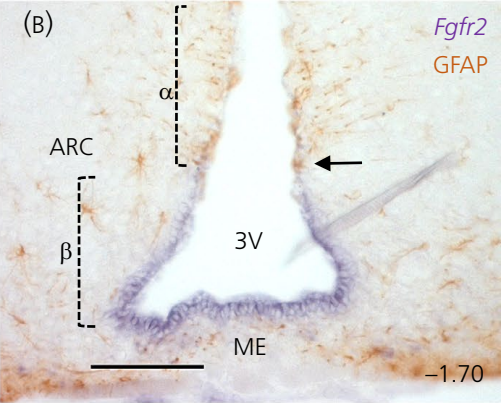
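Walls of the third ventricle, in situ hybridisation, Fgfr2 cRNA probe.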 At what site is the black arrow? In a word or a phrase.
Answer: Transition zone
